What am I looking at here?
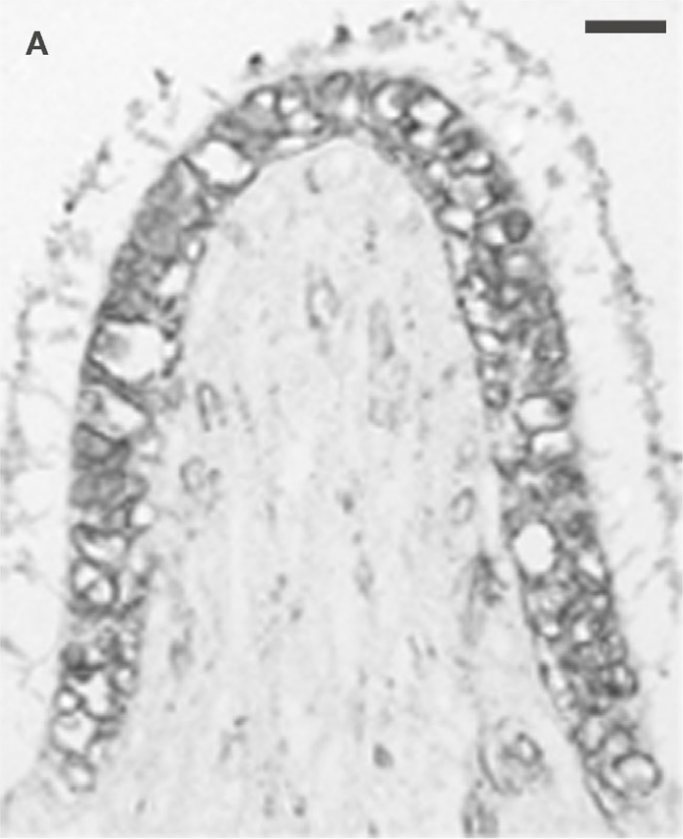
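This is the sensory neurepithelium of a semicircular canal crista, forming a continuous layer of tightly packed cells over a dome-shaped ridge. Many cells have rounded, pale, vacuole-like profiles set in darker stained cytoplasm. Beneath the epithelium lies a loose, lightly stained connective tissue core containing a few small round profiles.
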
